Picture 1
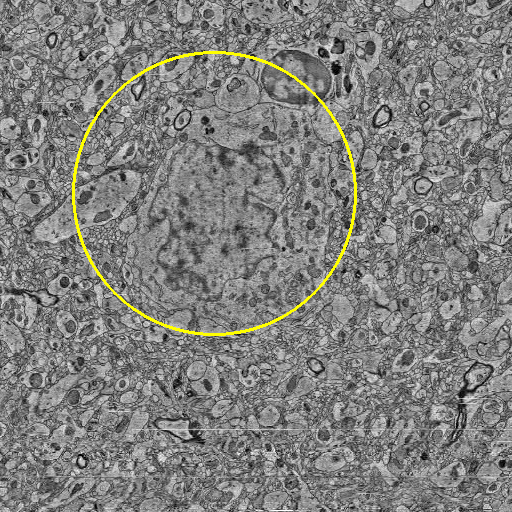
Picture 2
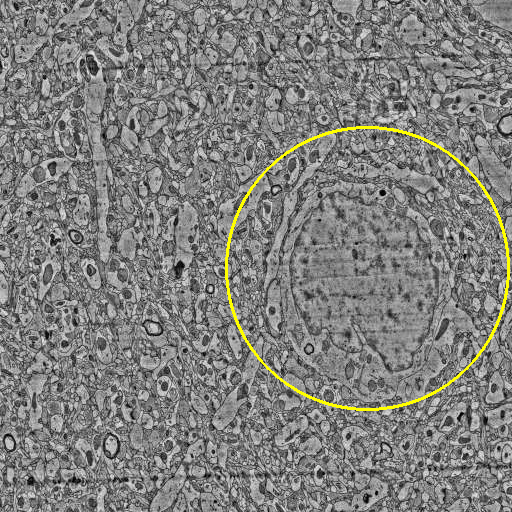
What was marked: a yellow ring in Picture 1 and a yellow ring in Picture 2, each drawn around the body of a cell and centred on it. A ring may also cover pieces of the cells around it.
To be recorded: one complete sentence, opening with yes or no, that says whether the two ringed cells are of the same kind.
Yes, the two ringed cells are of the same kind.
